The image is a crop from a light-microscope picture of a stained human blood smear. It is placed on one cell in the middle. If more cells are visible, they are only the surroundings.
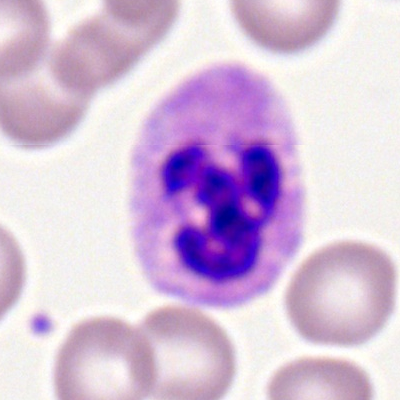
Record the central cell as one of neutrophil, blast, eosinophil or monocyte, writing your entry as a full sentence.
The center cell of this crop is a neutrophil.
